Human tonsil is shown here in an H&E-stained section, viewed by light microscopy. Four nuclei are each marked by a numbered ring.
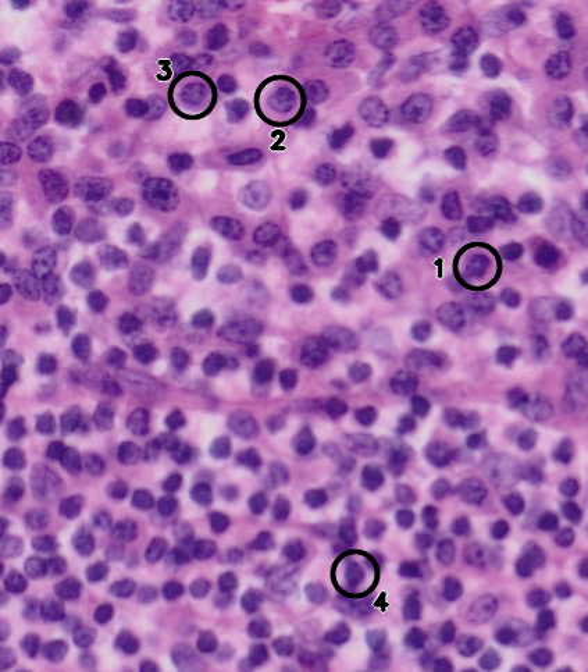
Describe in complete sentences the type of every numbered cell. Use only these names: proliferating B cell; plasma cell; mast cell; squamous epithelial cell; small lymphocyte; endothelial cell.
Cell 1 is a plasma cell, cell 2 is a plasma cell, cell 3 is a plasma cell and cell 4 is a small lymphocyte.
